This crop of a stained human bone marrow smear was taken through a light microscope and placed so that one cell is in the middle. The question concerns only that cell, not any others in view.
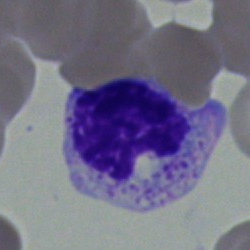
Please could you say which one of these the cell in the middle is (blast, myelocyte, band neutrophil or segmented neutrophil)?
myelocyte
